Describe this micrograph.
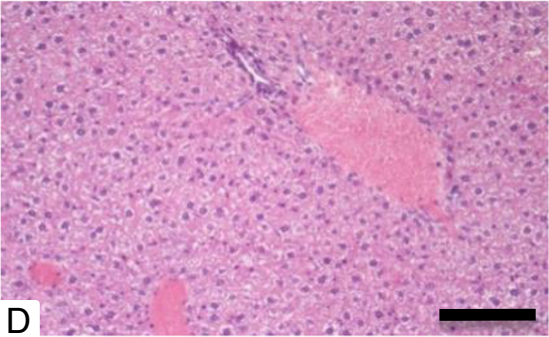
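This is liver parenchyma made of hepatocytes arranged in plates that run toward vessels. The hepatocytes are large polygonal cells with pink, finely granular cytoplasm and round, centrally placed purple nuclei, some of them noticeably larger than others. A wide vessel filled with pink blood lies in the middle, with smaller blood-filled vessels at the lower left, and a small cluster of darker, elongated nuclei sits at the vessel edge where a portal area with supporting cells begins. The overall lobular arrangement looks orderly, without obvious inflammation or disruption of the cell plates.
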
